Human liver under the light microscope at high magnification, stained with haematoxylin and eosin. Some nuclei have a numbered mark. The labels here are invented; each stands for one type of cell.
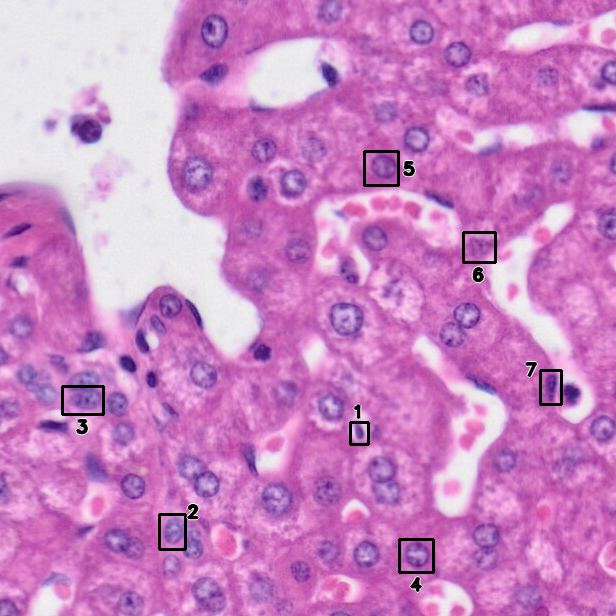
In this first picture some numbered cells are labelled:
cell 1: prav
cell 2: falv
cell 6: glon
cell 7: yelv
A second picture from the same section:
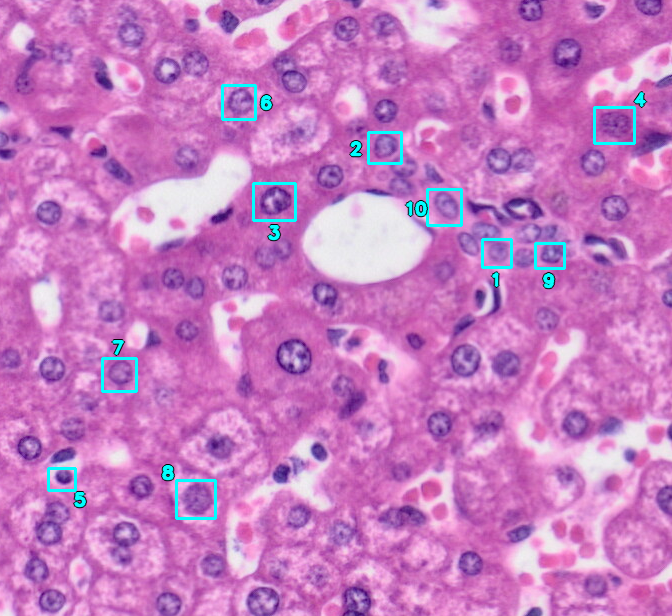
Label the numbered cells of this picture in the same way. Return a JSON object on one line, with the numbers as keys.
{"1": "falv", "2": "falv", "3": "glon", "4": "glon", "5": "prav", "6": "glon", "7": "glon", "8": "glon", "9": "falv", "10": "falv"}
